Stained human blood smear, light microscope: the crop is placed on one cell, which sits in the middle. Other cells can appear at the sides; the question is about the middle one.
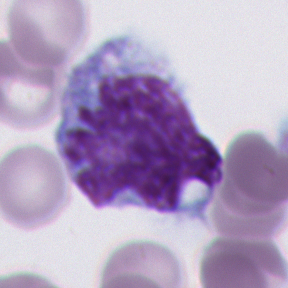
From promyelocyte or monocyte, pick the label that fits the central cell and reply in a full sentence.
Answering briefly, the cell in the middle is a monocyte.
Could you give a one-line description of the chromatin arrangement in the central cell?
The chromatin pattern here is coarse and clumped.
